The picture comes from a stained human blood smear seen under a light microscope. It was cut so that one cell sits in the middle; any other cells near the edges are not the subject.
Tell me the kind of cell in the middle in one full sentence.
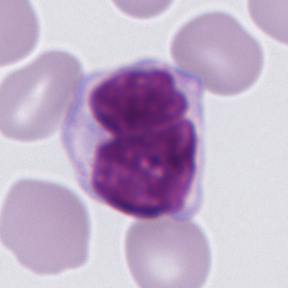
The cell around which this crop is centred is a large granular lymphocyte.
